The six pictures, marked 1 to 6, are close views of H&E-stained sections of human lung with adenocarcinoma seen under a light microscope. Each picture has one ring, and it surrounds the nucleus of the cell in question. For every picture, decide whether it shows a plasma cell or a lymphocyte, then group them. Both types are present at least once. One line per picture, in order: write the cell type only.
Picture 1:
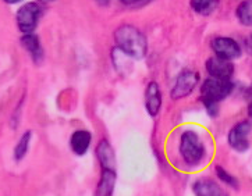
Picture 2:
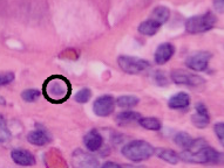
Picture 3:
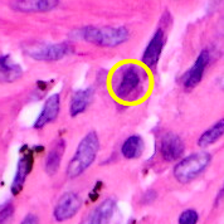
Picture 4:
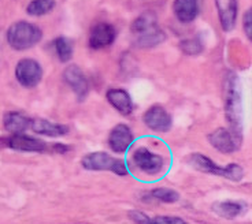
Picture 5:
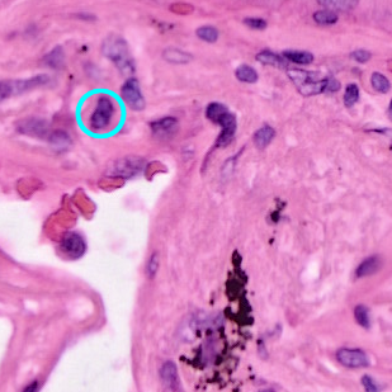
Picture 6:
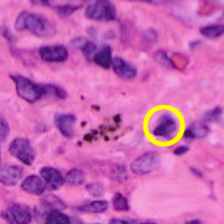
lymphocyte
lymphocyte
plasma cell
lymphocyte
plasma cell
lymphocyte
